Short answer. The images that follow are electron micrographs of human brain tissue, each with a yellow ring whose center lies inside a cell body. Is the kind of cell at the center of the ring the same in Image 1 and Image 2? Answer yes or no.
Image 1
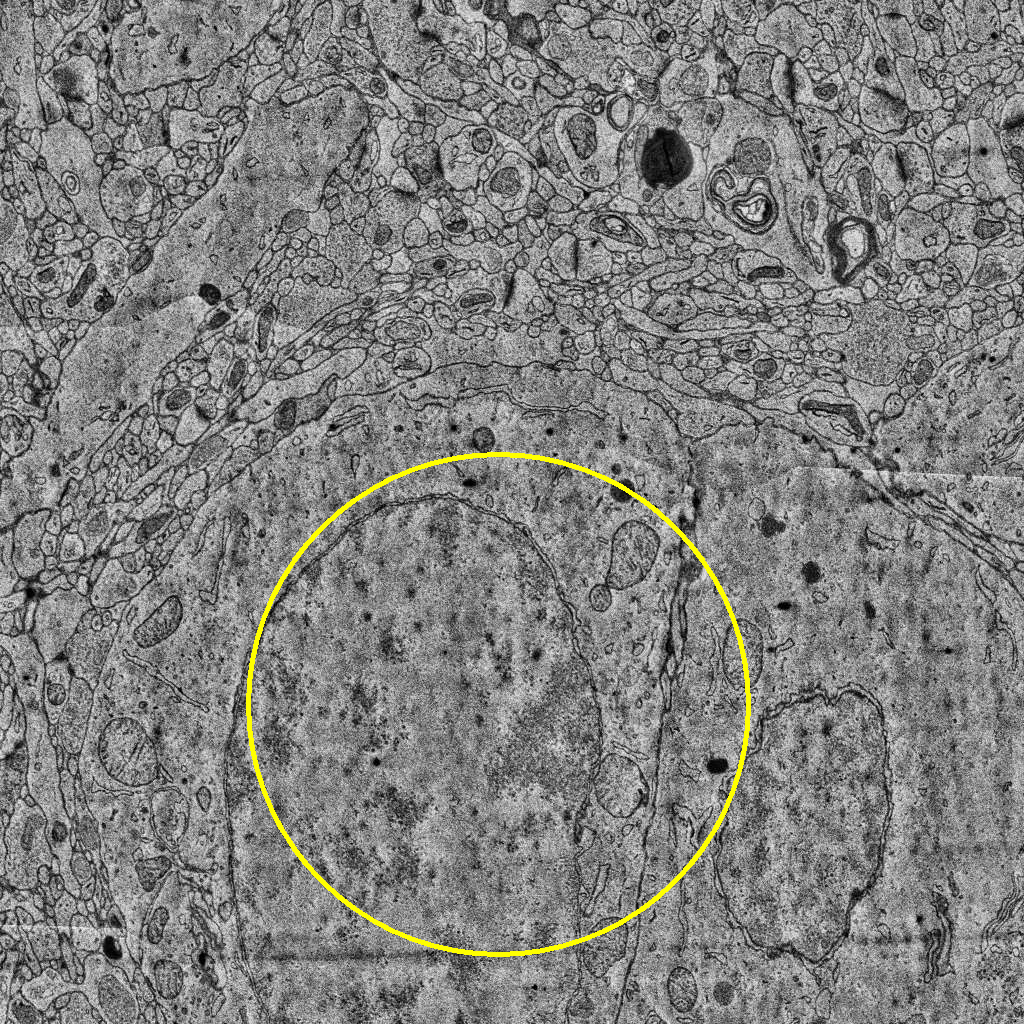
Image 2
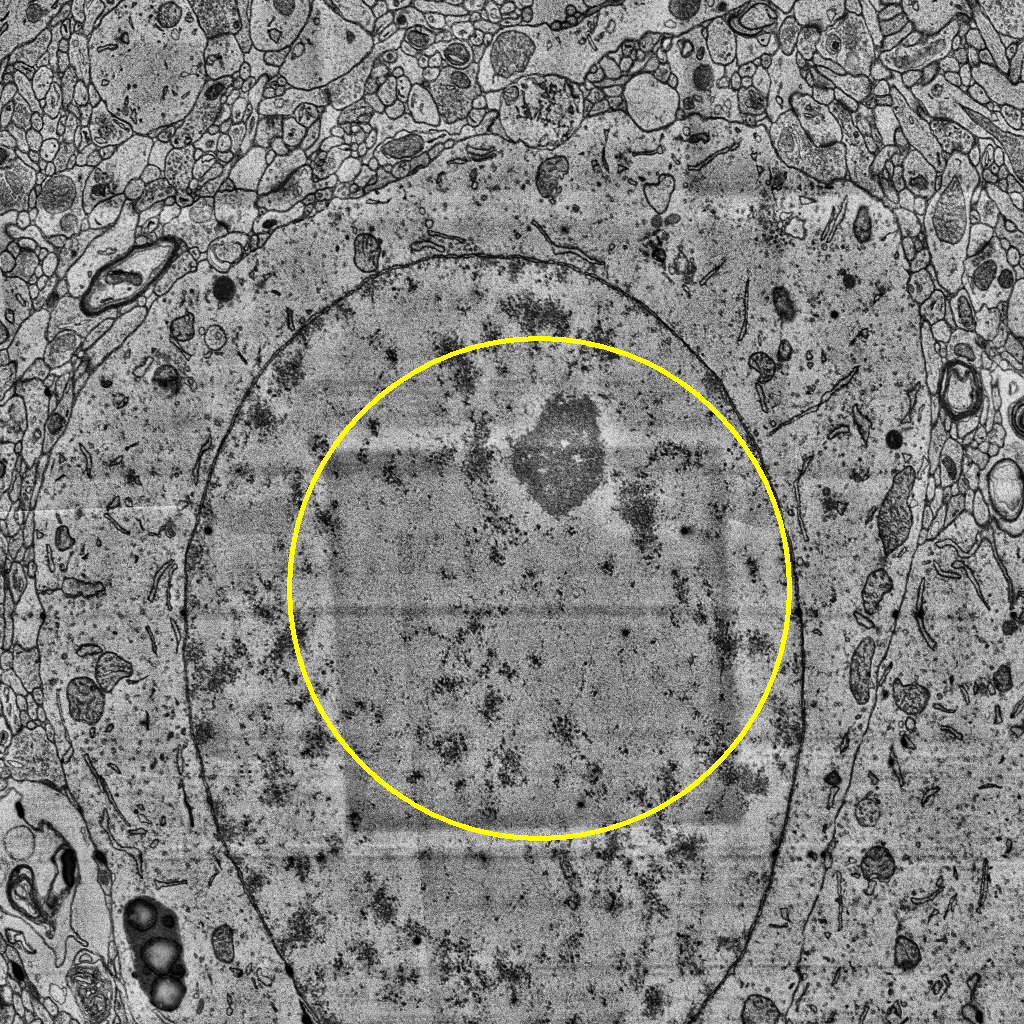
yes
